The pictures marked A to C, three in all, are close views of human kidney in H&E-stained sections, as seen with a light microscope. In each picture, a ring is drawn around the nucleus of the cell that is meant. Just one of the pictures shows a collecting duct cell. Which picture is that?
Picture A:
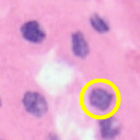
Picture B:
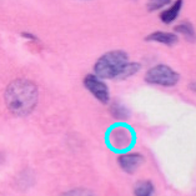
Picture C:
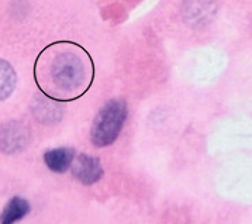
B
